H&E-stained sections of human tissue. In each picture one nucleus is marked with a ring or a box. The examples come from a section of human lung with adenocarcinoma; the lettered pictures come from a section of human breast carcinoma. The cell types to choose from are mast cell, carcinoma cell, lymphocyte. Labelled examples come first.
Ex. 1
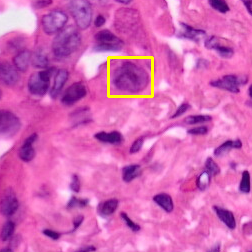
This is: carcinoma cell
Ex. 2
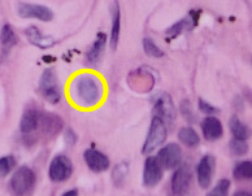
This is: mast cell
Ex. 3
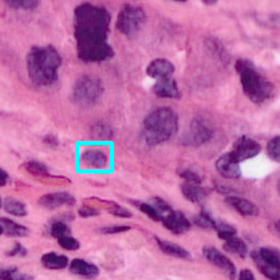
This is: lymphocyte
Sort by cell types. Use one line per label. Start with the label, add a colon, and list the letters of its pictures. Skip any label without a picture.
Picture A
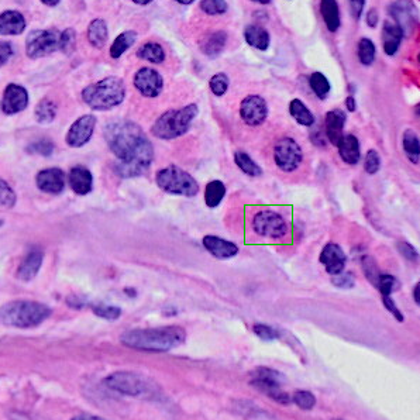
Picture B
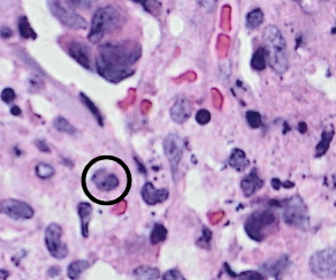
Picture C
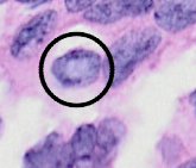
mast cell: A, B
carcinoma cell: C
